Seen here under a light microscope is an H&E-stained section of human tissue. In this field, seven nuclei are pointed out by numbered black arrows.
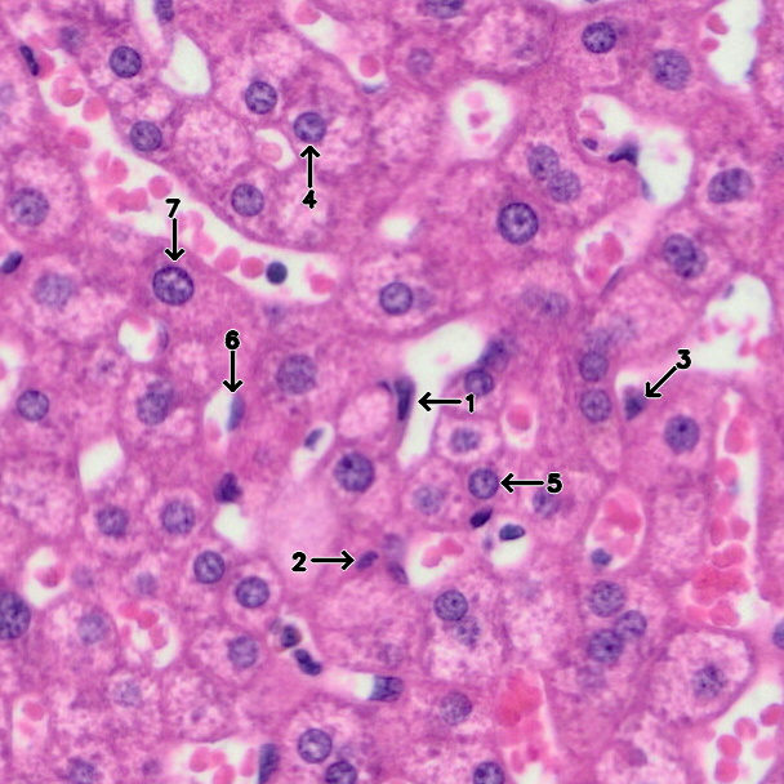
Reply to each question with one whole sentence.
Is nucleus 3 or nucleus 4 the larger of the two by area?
Nucleus 4 is larger, with an area about 2 times that of nucleus 3.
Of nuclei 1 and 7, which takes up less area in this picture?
Nucleus 1 covers less area, with nucleus 7 about 2.5 times as large.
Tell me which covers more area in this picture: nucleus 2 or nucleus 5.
Nucleus 5 is the larger one, covering about 2 times the area of nucleus 2.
